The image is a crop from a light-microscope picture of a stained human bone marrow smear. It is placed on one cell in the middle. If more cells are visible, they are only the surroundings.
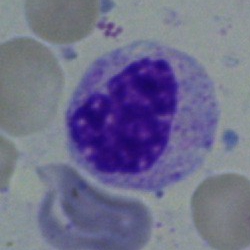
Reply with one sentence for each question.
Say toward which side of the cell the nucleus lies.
Toward the left of the cell lies its nucleus.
